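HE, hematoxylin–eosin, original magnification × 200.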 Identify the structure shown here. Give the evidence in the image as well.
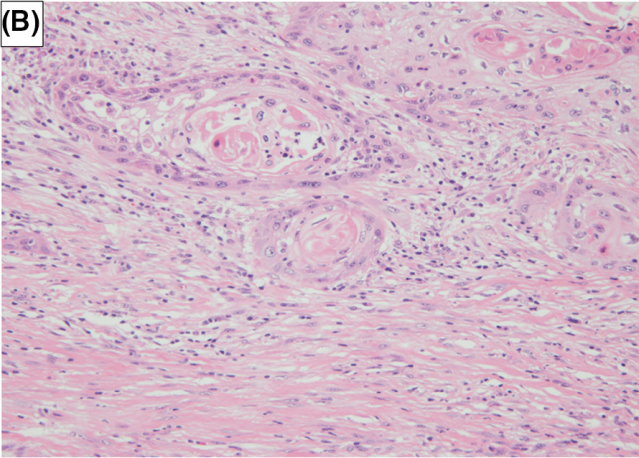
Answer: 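The stroma consists of parallel, wavy pink fibres with elongated spindle-shaped nuclei. Small tumour nests with pink keratinized centres lie within this fibrous tissue. The answer: fibrous stroma.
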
